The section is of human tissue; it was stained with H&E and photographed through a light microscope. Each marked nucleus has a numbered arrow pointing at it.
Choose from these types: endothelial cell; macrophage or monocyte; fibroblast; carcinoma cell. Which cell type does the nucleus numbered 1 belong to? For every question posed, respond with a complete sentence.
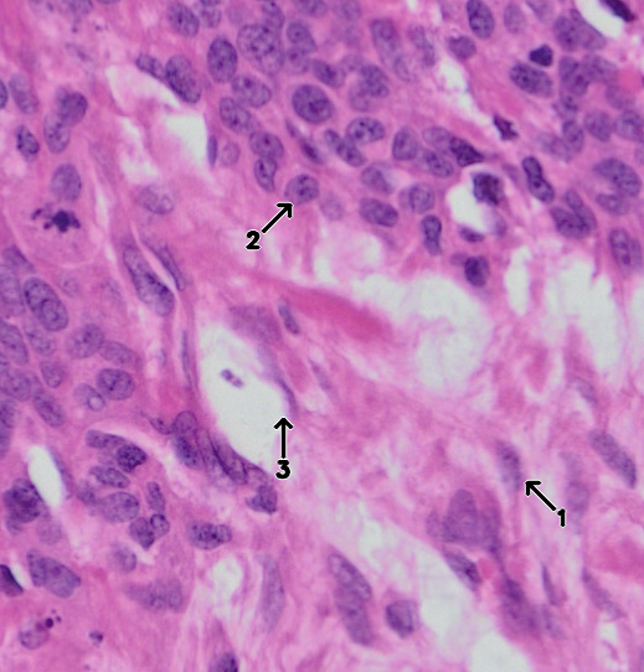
The cell pointed out as number 1 is a fibroblast.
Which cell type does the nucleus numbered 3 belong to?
Cell number 3 in this section is a fibroblast.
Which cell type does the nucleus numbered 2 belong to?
Heads up, the cell numbered 2 is a macrophage or monocyte.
